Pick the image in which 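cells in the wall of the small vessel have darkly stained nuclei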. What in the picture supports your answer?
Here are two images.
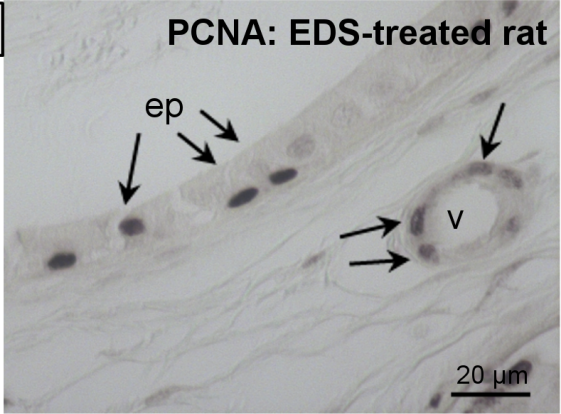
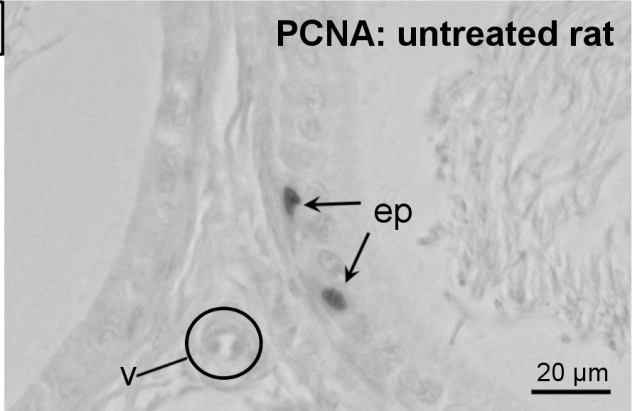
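First image: several nuclei around the small vessel's lumen are dark purple. Second image: the circled small vessel shows no darkly stained nuclei.
The first image.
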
